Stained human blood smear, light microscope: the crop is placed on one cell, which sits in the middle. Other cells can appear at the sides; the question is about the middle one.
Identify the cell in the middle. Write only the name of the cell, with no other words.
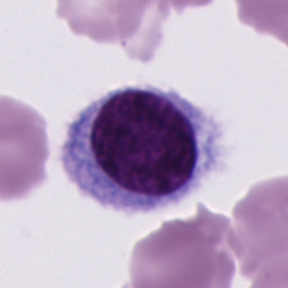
hairy cell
